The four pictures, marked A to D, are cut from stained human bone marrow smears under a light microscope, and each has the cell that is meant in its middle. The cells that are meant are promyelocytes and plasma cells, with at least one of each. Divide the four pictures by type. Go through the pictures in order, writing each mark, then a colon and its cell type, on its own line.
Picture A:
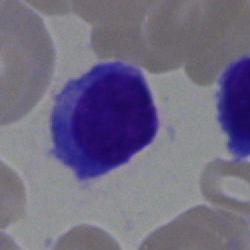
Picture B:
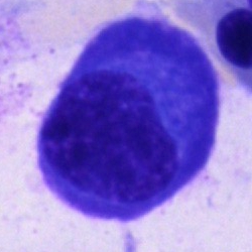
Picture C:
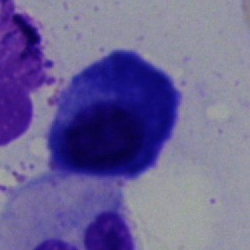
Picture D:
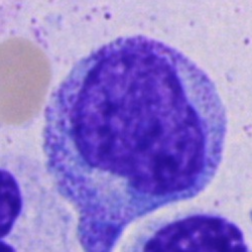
A: plasma cell
B: plasma cell
C: plasma cell
D: promyelocyte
